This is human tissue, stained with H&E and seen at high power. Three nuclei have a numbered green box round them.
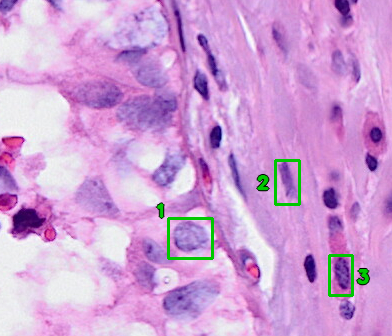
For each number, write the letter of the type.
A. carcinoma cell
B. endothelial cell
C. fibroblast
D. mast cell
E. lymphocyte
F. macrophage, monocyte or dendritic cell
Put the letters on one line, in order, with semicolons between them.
A; C; D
